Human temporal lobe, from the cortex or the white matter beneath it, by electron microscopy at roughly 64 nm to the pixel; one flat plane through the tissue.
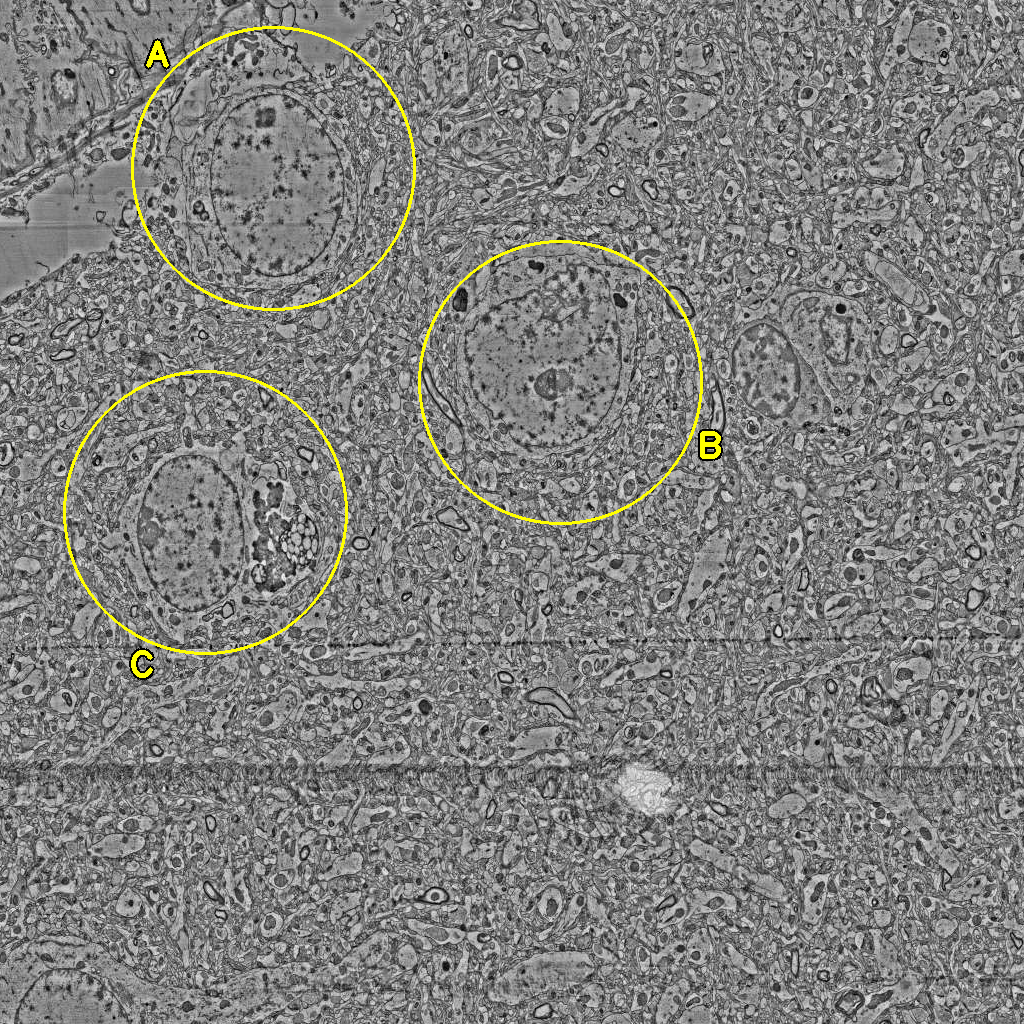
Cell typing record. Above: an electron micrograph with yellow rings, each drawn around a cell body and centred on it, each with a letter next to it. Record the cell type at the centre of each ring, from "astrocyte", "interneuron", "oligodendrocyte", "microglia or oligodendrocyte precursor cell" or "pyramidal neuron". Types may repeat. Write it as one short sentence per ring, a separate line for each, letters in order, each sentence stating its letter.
Ring A circles a pyramidal neuron.
Ring B circles an interneuron.
Ring C circles an astrocyte.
